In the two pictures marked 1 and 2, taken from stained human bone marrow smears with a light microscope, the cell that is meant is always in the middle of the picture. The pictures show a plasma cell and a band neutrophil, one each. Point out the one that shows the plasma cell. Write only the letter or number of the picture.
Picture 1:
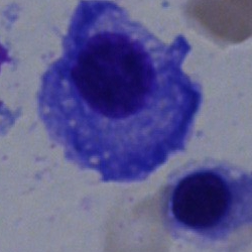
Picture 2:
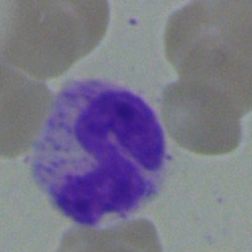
1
